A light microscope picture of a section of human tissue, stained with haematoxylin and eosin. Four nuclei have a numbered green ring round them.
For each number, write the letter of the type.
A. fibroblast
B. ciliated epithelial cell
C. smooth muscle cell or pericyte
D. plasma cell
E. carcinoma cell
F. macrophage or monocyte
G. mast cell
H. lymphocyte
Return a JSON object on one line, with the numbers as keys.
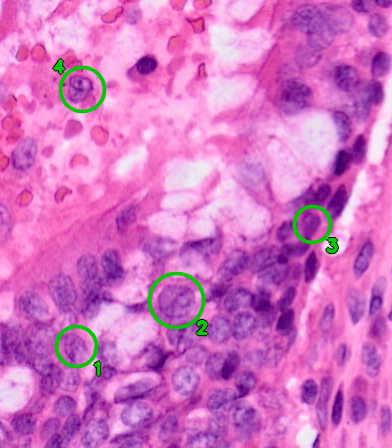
{"1": "B", "2": "B", "3": "B", "4": "F"}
